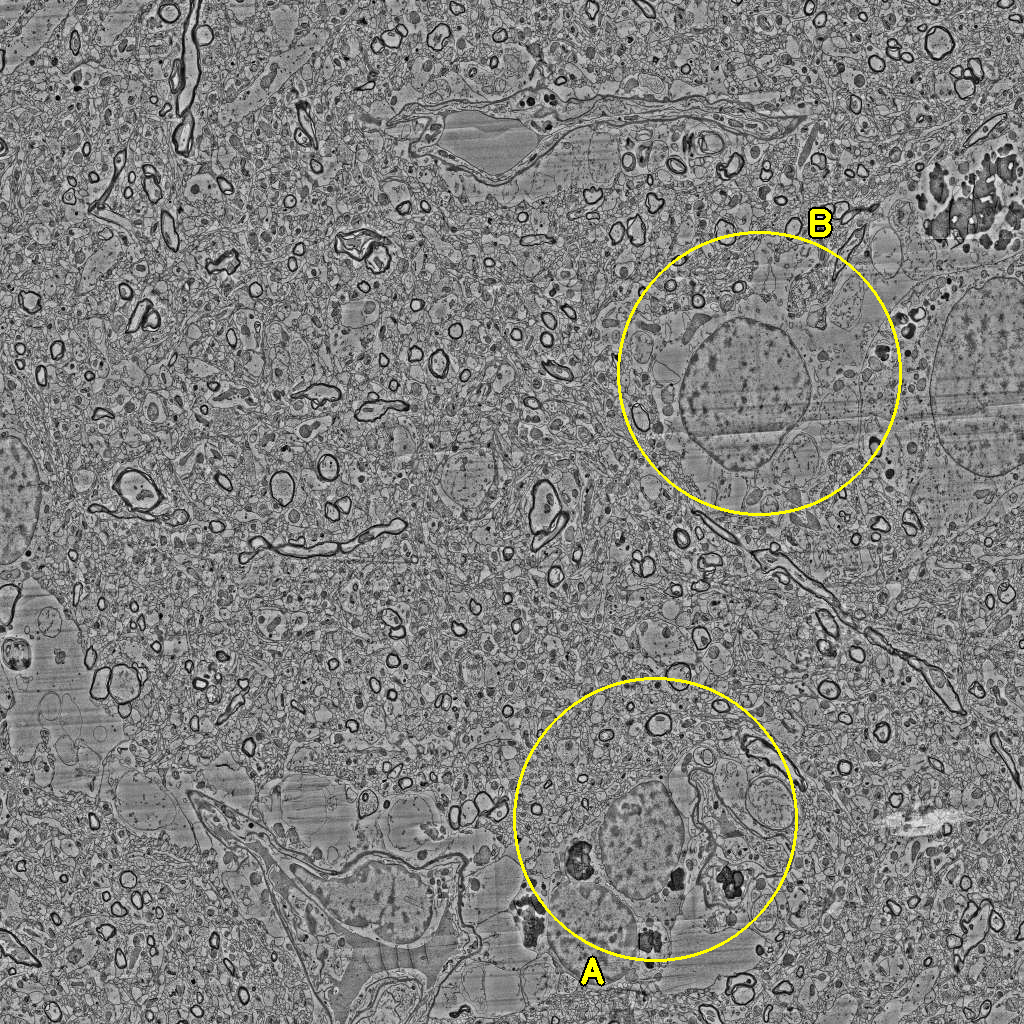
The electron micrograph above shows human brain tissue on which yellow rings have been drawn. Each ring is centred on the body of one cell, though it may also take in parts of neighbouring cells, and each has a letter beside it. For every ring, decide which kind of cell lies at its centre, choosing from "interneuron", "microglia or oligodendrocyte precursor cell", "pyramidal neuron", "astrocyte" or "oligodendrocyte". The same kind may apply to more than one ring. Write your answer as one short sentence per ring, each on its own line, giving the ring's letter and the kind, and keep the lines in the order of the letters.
Ring A is centred on an oligodendrocyte.
Ring B is centred on an astrocyte.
